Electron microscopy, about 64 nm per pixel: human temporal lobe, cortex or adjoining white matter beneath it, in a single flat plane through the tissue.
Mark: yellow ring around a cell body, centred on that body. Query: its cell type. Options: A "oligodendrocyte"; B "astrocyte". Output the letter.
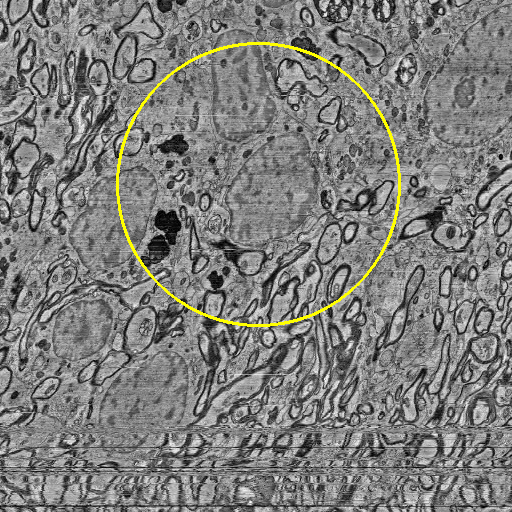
A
